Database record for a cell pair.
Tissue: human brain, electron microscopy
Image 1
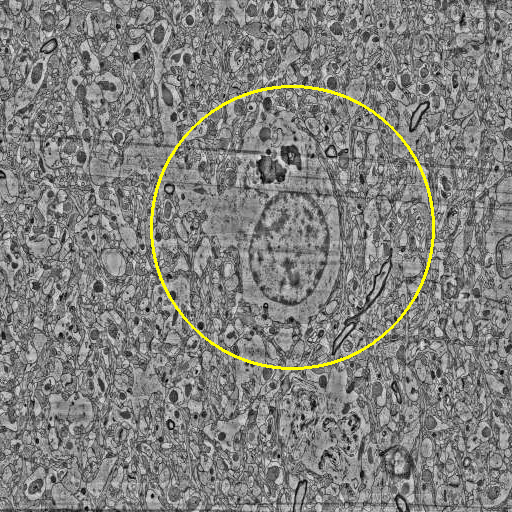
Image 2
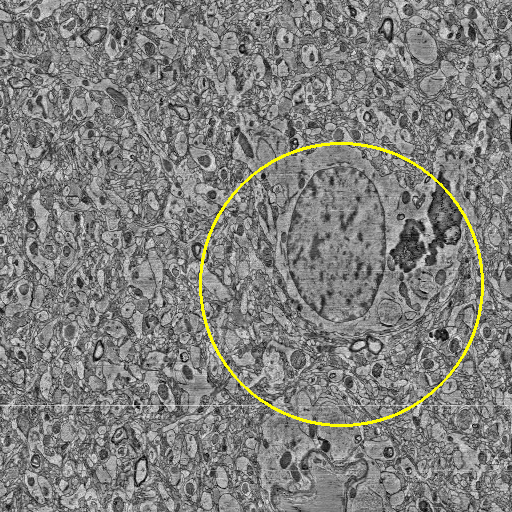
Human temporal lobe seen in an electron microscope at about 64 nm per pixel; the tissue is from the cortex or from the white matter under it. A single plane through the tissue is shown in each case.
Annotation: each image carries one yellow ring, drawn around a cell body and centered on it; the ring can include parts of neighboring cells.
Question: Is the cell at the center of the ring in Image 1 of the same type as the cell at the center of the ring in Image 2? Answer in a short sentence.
Yes, the cells are of the same type.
